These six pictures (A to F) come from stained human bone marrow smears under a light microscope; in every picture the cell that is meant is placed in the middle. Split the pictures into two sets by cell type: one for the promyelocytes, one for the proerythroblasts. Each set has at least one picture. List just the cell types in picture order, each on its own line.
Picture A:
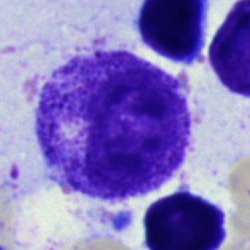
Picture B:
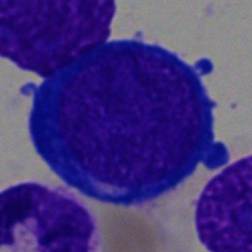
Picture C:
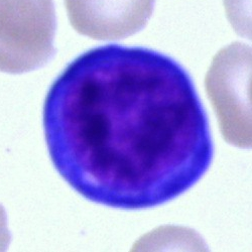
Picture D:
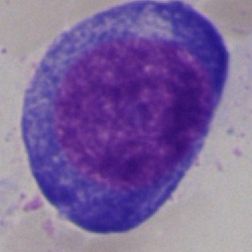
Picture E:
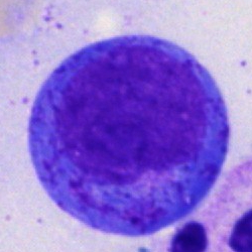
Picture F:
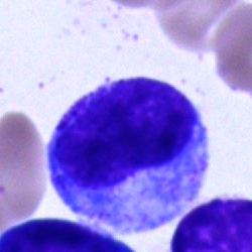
promyelocyte
proerythroblast
proerythroblast
proerythroblast
promyelocyte
promyelocyte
